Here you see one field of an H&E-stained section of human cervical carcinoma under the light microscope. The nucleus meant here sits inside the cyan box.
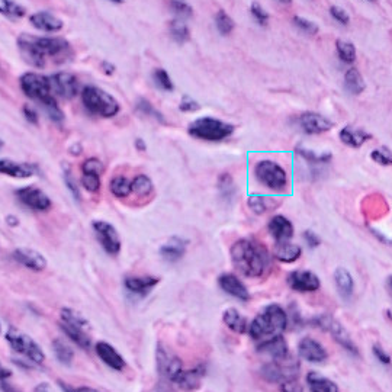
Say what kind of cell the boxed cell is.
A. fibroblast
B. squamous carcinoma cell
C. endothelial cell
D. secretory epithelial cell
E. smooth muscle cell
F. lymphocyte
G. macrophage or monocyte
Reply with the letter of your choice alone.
F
